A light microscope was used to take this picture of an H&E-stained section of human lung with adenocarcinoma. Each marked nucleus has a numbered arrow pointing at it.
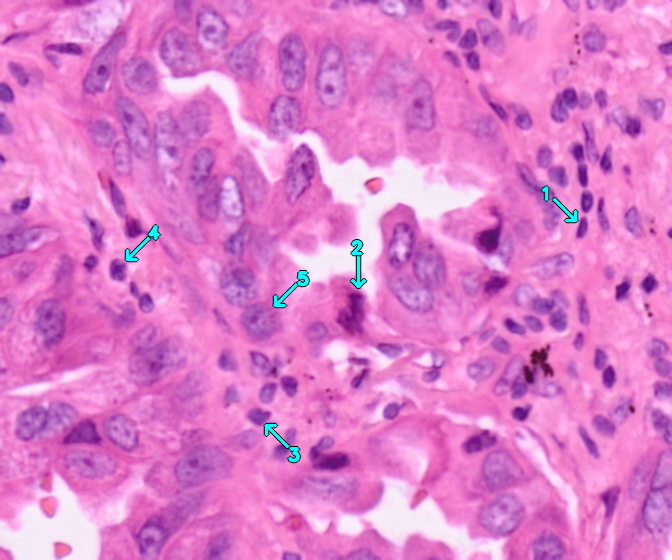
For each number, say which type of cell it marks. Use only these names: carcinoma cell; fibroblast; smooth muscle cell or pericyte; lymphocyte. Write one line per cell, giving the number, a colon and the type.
1: lymphocyte
2: carcinoma cell
3: lymphocyte
4: lymphocyte
5: carcinoma cell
